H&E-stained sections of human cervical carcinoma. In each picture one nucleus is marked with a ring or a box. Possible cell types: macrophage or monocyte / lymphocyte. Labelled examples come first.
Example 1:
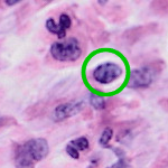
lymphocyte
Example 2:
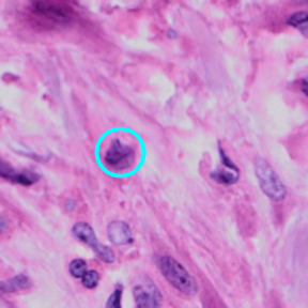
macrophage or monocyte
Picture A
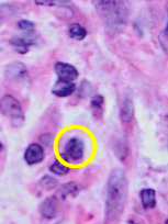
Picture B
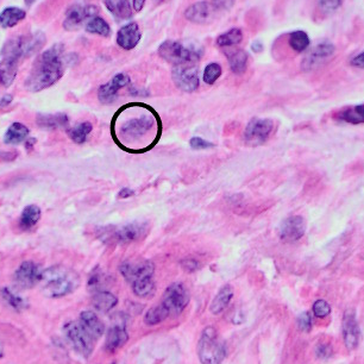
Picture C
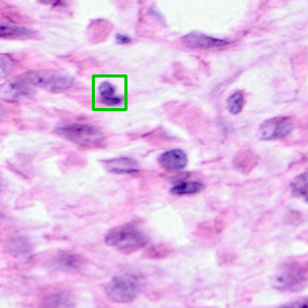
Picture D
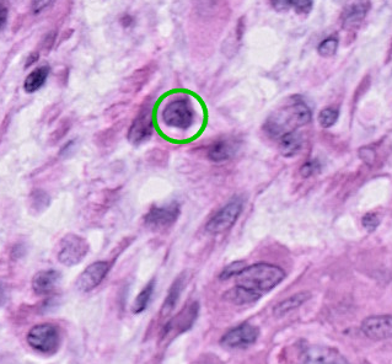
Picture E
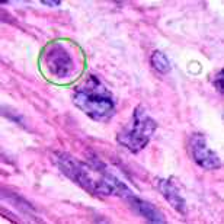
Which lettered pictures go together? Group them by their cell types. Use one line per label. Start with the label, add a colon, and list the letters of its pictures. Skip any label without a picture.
macrophage or monocyte: B, D, E
lymphocyte: A, C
